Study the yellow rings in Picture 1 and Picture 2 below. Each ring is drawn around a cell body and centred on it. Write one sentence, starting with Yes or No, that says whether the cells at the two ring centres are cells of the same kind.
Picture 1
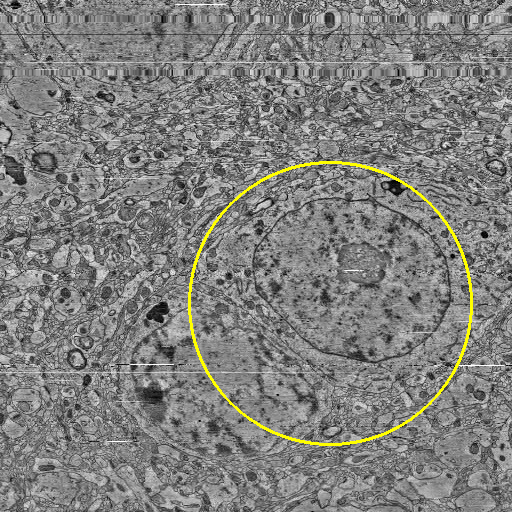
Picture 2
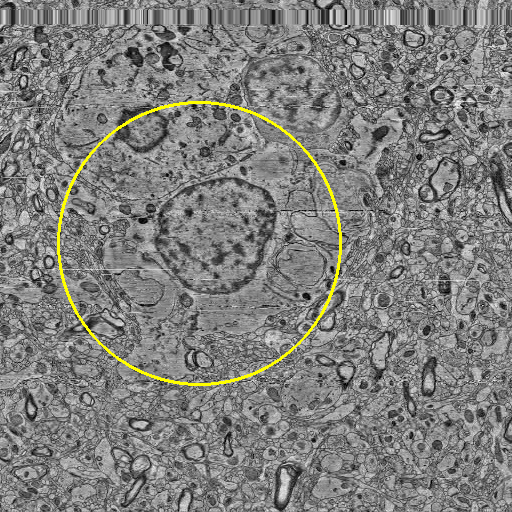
No, the cells at the ring centres are of two kinds.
